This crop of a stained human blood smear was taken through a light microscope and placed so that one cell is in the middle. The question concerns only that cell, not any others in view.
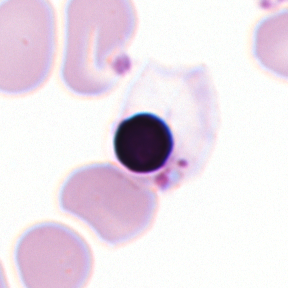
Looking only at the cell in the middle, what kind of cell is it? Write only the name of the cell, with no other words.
normoblast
